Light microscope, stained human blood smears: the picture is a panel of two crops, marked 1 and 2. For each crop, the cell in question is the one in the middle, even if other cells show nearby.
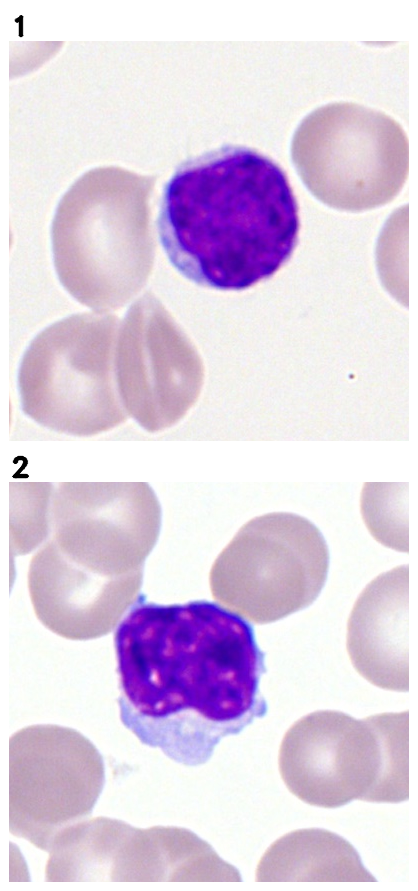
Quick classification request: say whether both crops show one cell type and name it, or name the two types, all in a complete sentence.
Yes, they do, both crops show lymphocytes.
